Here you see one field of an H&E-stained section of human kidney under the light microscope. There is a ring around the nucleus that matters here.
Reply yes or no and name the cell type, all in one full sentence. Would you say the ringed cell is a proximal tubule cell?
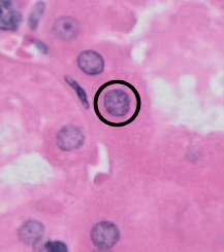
Yes, within this tissue section, the ringed cell is a proximal tubule cell.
